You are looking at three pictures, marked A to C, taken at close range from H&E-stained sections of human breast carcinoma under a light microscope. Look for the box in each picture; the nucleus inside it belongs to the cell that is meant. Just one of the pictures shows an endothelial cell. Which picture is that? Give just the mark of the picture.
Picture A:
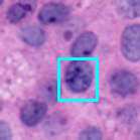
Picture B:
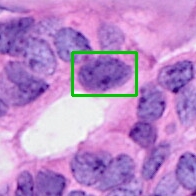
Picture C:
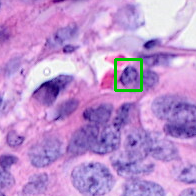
C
